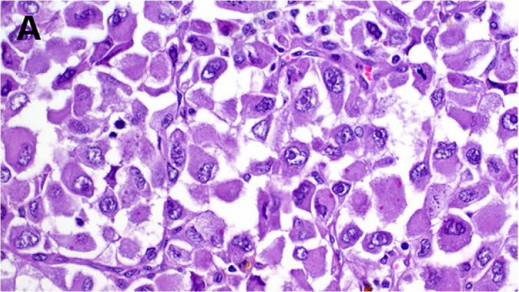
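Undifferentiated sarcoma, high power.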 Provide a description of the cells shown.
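Poorly cohesive large epithelioid tumour cells with ganglion cell-like features fill the field. The cells are rounded to polygonal and lie loosely, many separated from one another by clear spaces, with only thin strands of stroma between them. Each has abundant purple-pink cytoplasm. The nuclei are large, round to oval and often placed off-centre, with vesicular chromatin and prominent nucleoli, giving the cells a resemblance to neurons. Some cells have two nuclei, and nuclear size varies between cells. Scattered small dark cells lie among the large tumour cells.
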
